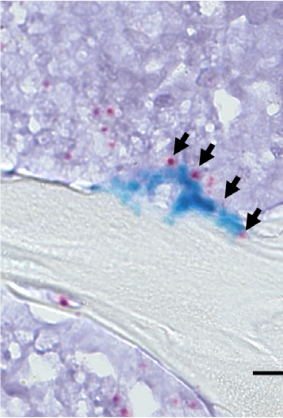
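A section of bone with pale grey, finely layered bone matrix below and densely packed purple-stained marrow cells above. A large, irregular blue-stained osteoclast lies flat against the bone surface at the border between the marrow and the matrix. Small red dots are scattered among the marrow cells, and several lie on the blue-stained cell, where black arrows point to them.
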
